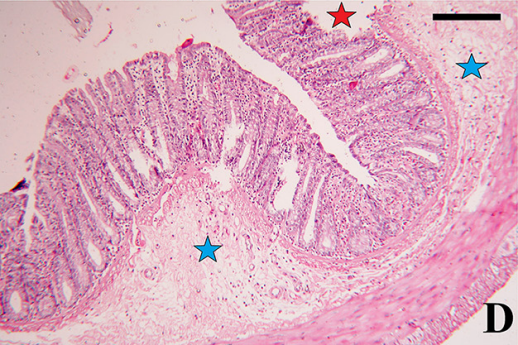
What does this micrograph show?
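This section of colon wall shows a fold of mucosa with tall, closely set crypts over a broad submucosa. The submucosa in the core of the fold and beside the outer muscle layer is pale, loose and sparsely cellular, as if swollen with fluid. The crypts are lined by columnar epithelium with pale goblet cells, and the lamina propria between them holds many small dark nuclei. Near the top the mucosal surface is irregular.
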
